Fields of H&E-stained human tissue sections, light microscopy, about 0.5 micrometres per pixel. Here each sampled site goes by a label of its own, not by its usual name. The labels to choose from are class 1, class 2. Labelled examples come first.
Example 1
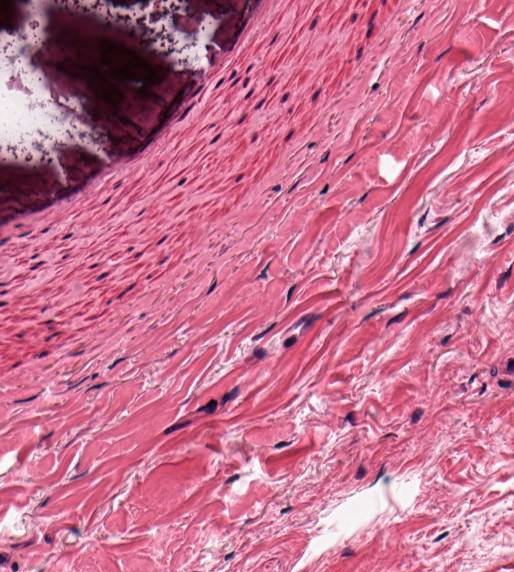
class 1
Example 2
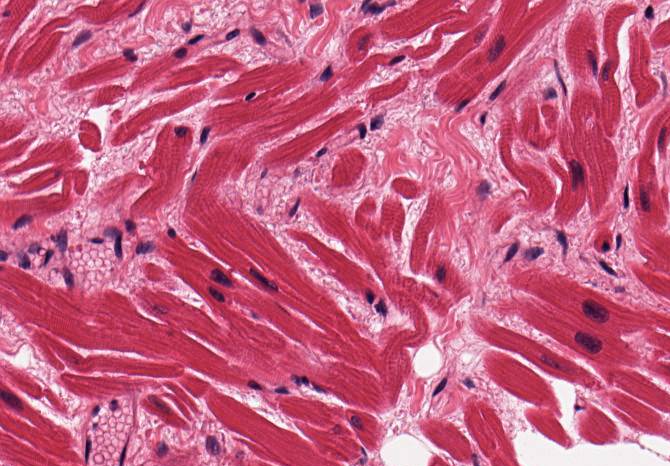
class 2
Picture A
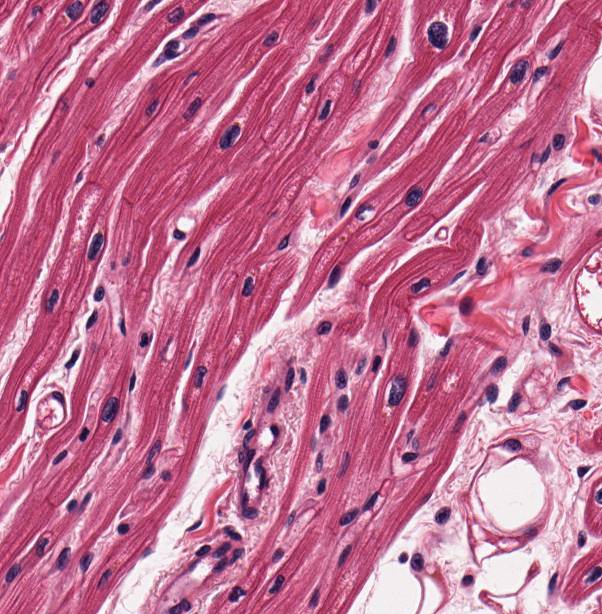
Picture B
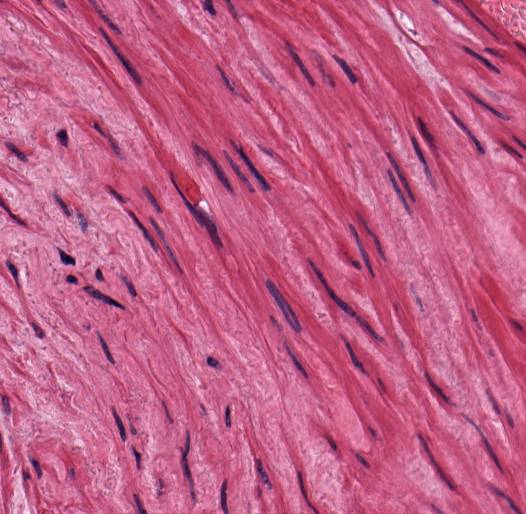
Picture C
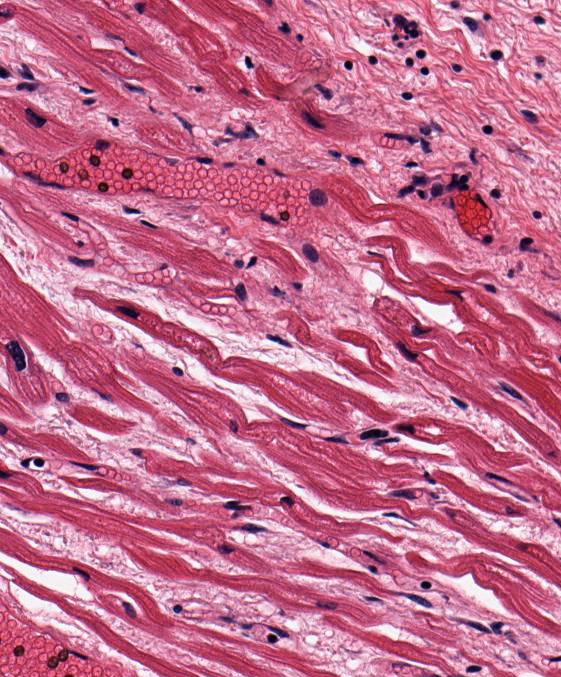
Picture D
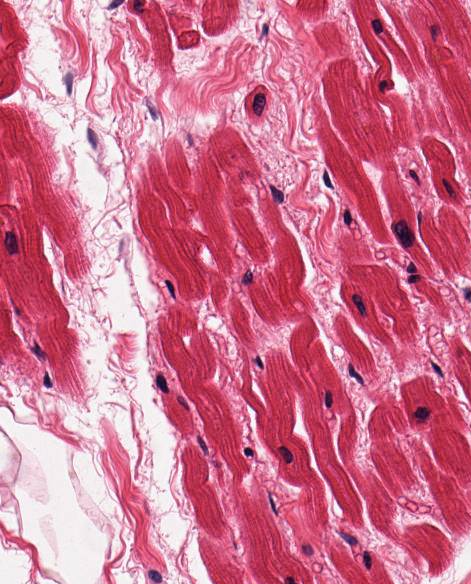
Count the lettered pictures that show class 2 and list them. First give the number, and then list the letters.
3: A, C, D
